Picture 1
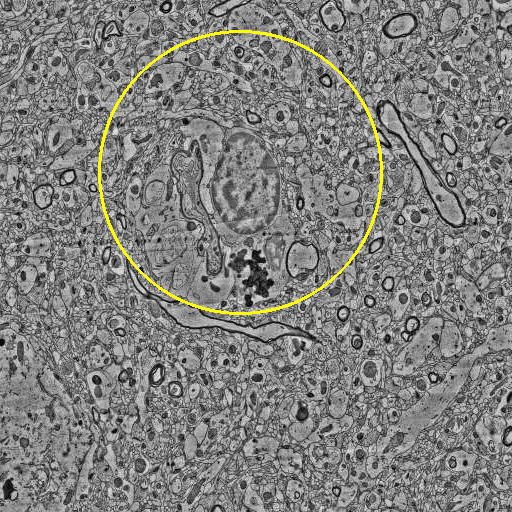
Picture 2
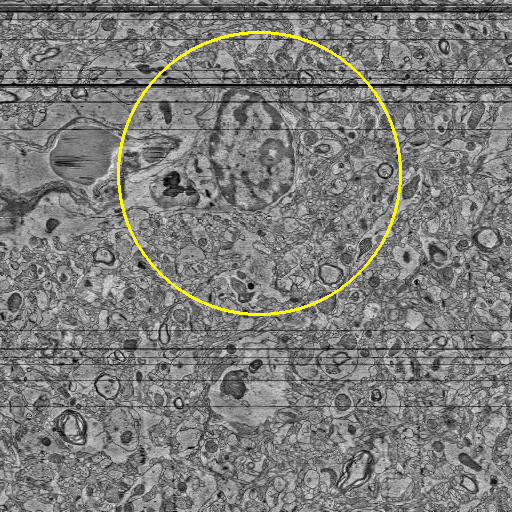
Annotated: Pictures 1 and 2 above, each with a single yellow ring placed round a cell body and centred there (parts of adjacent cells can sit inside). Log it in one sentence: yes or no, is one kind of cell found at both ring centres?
No, the ring centres of the two pictures hold cells of two kinds.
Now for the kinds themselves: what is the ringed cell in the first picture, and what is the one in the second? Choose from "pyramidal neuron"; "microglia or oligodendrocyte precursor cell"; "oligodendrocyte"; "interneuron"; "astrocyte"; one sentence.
Here the first cell is an oligodendrocyte and the second cell is a microglial cell or oligodendrocyte precursor cell.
